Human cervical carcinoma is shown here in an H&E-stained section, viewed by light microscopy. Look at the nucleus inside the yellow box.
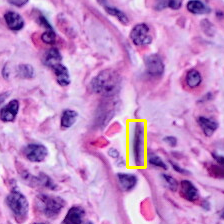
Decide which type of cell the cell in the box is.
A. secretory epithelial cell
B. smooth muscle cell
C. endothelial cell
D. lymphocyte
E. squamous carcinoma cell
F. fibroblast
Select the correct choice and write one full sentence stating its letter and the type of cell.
Identified correctly by option C, the cell in the box is an endothelial cell.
